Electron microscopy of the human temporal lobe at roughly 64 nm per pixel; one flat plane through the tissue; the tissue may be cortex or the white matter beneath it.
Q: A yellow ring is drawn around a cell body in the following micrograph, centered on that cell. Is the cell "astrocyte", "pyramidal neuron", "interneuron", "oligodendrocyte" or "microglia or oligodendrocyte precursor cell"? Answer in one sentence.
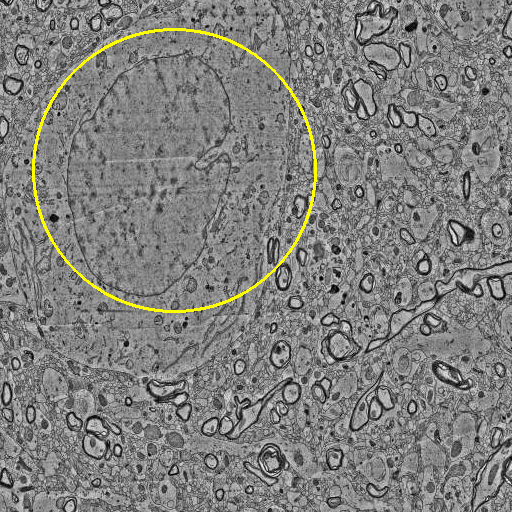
The cell in the center of the ring is a pyramidal neuron.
